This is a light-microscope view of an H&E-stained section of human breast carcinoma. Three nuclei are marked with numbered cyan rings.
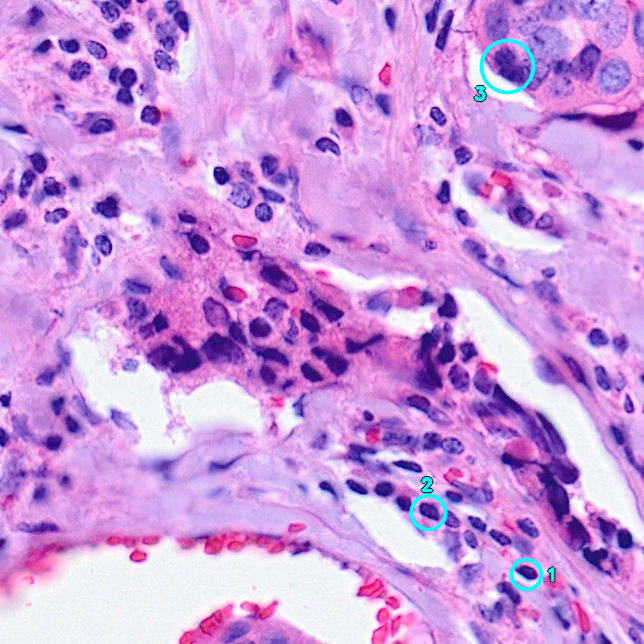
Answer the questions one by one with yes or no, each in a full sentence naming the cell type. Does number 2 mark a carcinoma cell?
No, in terms of cell type, cell 2 is a lymphocyte, not a carcinoma cell.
